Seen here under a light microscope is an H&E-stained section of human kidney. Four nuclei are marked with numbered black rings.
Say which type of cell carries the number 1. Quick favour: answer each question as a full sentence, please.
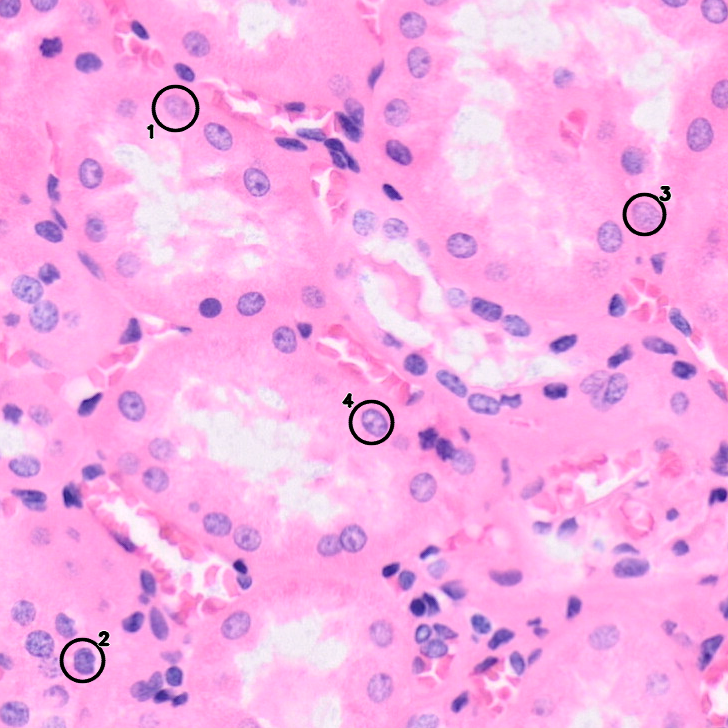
Numbered cell 1 is a proximal tubule cell in this tissue section.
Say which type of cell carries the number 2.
Cell 2, as marked in the section, is a loop of Henle or distal tubule cell.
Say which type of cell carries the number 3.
The cell carrying label 3 is identified as a proximal tubule cell.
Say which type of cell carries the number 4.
In this section, the cell tagged 4 is a proximal tubule cell.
